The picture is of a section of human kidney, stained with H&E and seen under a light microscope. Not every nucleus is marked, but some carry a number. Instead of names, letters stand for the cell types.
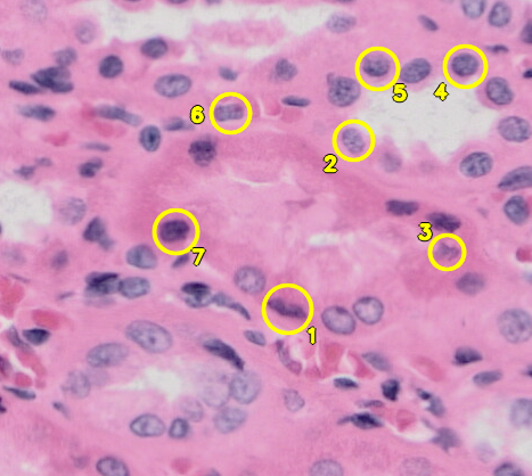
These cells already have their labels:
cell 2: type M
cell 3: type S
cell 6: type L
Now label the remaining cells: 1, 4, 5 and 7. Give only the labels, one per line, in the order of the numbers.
type S
type M
type M
type S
